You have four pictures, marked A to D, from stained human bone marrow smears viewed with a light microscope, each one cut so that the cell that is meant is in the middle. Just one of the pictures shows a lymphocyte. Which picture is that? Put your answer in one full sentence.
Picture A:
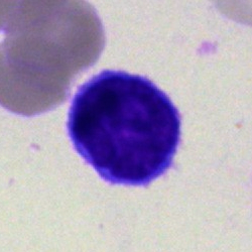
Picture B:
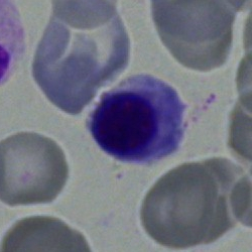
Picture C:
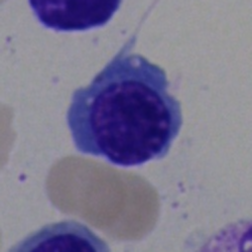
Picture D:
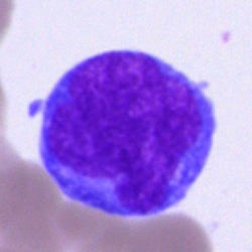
It is picture A that shows the lymphocyte.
